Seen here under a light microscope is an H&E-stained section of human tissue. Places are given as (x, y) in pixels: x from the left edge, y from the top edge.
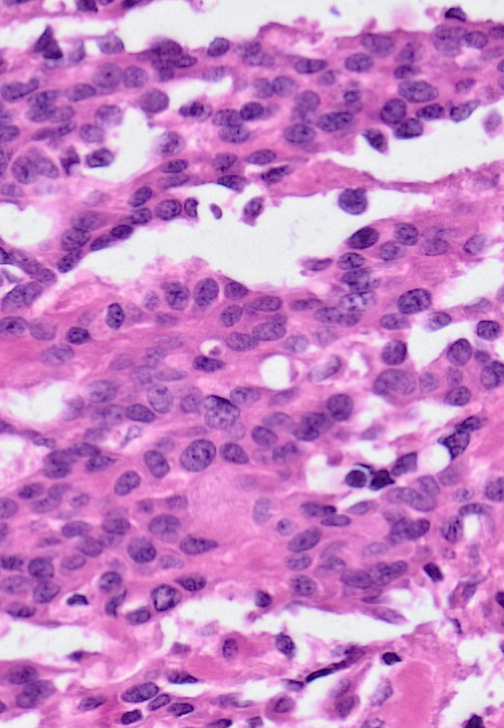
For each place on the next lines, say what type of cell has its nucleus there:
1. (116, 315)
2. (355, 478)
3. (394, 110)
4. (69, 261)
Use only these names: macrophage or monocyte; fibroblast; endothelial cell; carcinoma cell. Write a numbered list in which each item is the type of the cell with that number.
1. macrophage or monocyte
2. carcinoma cell
3. carcinoma cell
4. carcinoma cell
